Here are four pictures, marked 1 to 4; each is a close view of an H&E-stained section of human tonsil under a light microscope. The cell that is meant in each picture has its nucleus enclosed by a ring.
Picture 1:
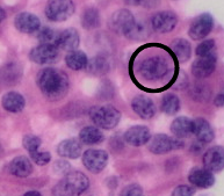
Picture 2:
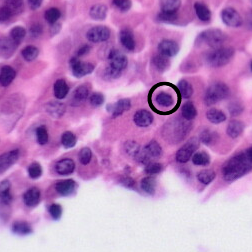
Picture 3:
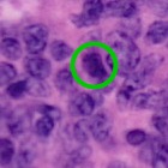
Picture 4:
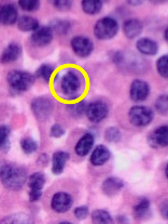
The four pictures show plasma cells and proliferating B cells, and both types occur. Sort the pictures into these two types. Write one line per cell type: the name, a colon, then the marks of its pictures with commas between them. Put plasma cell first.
plasma cell: 1, 2, 4
proliferating B cell: 3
